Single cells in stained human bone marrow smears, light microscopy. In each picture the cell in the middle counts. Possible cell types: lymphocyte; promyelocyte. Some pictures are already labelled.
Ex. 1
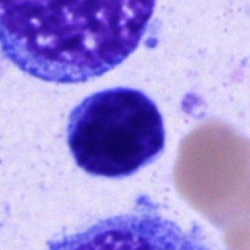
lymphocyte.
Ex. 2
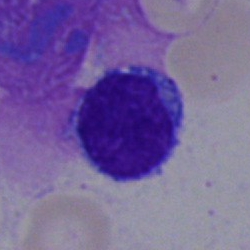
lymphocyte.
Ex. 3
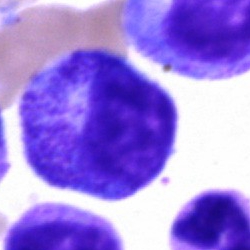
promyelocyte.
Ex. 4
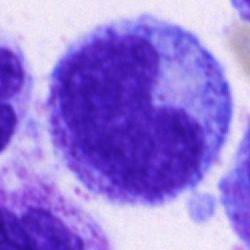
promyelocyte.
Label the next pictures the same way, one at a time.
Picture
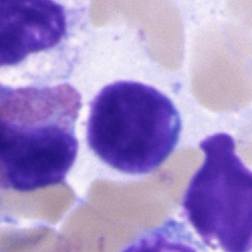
lymphocyte.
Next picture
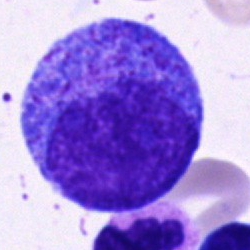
promyelocyte.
